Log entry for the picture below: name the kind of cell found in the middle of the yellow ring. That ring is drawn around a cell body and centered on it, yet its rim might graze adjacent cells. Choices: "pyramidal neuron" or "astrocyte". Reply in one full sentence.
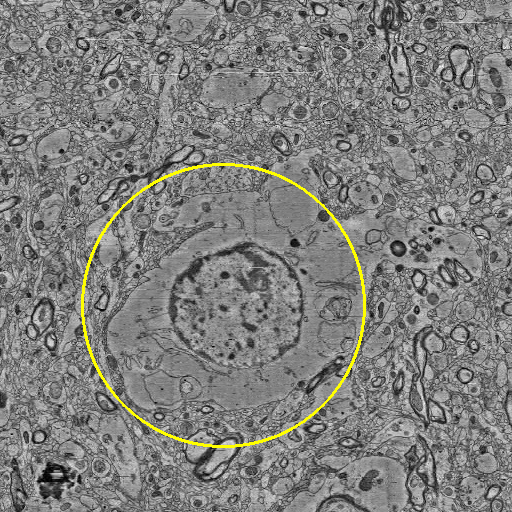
The cell in the middle of the yellow ring in this picture is an astrocyte.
